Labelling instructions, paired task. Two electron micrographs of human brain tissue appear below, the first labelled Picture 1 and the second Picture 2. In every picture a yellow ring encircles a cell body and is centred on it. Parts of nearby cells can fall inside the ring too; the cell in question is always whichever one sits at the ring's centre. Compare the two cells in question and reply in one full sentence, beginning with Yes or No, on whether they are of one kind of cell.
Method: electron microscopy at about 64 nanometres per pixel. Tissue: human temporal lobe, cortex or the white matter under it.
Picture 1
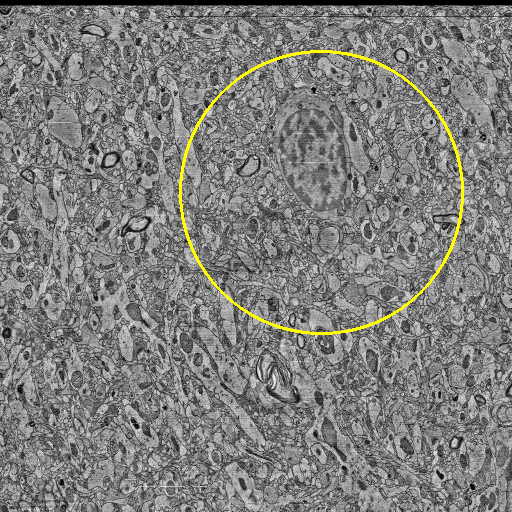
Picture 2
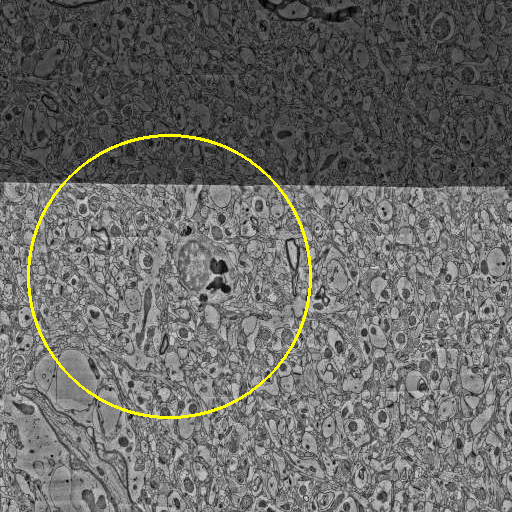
Yes, the two cells at the ring centres in Picture 1 and Picture 2 are of one kind.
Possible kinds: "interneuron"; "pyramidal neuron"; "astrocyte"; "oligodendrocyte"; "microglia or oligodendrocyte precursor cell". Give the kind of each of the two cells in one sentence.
Both pictures show an oligodendrocyte at the centre of the ring.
